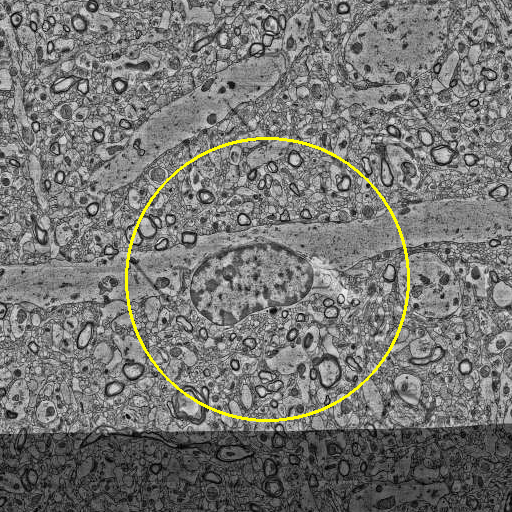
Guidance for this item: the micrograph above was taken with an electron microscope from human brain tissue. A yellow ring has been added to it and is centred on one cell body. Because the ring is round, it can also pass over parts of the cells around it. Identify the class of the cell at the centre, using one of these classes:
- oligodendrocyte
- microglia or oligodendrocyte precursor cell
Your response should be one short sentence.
The ring surrounds the body of a microglial cell or oligodendrocyte precursor cell.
